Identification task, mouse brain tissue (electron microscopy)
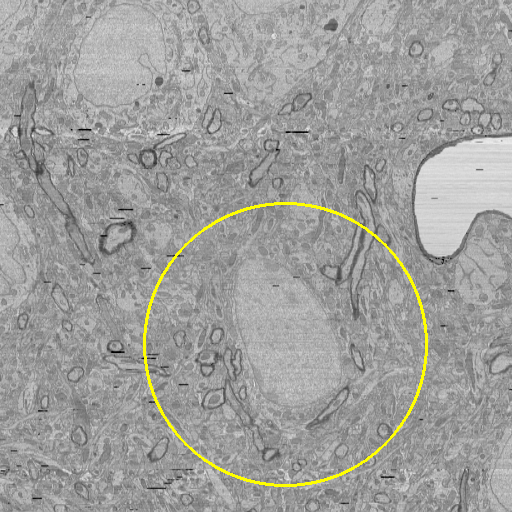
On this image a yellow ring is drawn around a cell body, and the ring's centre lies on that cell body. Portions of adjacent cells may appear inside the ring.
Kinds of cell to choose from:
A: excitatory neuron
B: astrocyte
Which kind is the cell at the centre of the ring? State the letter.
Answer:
B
